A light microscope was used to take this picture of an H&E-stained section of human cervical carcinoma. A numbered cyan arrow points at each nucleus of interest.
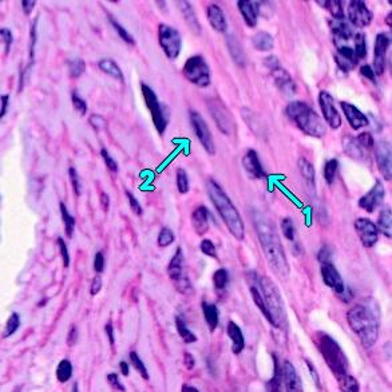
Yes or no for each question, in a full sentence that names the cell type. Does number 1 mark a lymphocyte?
Yes, cell 1 among the marked cells is a lymphocyte.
